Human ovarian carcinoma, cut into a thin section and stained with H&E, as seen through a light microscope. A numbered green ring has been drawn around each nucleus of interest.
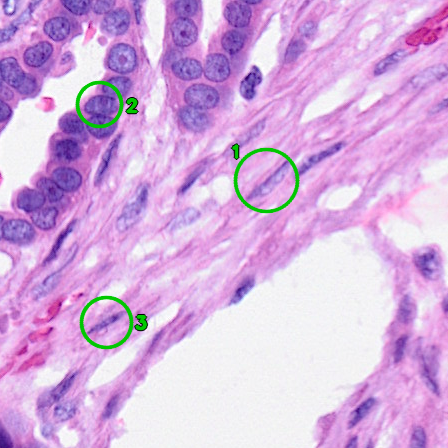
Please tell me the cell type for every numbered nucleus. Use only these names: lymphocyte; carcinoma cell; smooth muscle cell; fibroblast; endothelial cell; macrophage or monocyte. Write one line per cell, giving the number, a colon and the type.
1: fibroblast
2: carcinoma cell
3: fibroblast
